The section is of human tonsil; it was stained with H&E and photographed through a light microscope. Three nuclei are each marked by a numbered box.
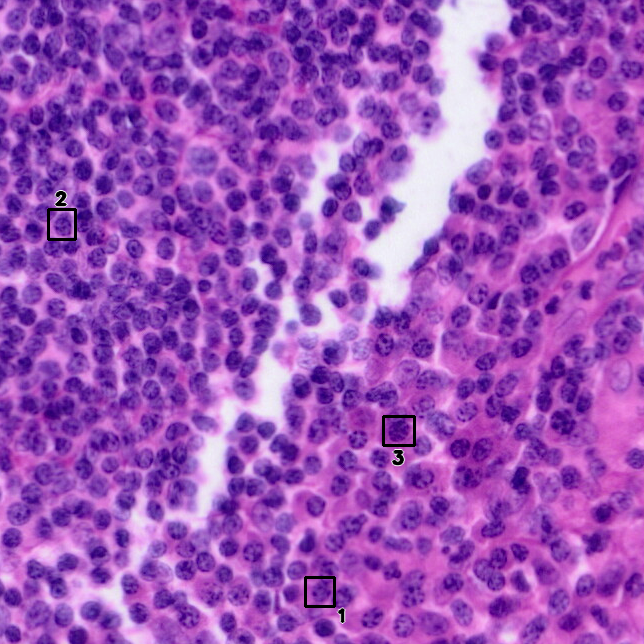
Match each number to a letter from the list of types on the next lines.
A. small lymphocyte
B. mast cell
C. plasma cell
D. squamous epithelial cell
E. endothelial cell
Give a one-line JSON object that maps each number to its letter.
{"1": "C", "2": "A", "3": "C"}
